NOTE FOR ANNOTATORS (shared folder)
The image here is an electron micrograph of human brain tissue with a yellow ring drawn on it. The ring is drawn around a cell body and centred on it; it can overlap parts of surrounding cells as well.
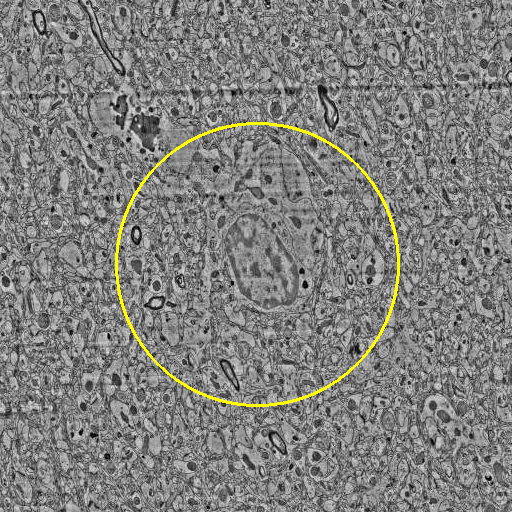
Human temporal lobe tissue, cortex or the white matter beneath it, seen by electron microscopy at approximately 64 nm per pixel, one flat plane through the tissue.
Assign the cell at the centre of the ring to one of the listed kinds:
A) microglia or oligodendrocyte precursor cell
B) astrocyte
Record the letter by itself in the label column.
A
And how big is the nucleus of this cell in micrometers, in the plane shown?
Roughly 6 micrometres by 4 micrometres, so the nucleus is clearly longer than it is wide in this plane.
